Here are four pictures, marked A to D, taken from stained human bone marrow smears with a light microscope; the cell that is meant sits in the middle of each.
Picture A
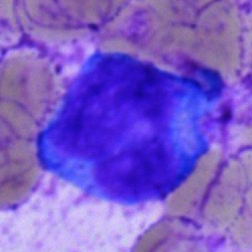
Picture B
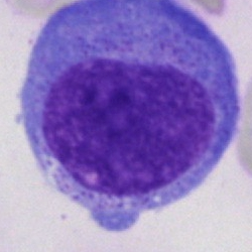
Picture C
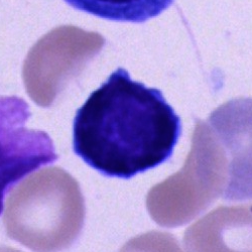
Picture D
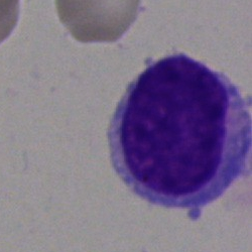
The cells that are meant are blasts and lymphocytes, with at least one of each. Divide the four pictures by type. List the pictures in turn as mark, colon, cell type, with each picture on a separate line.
A: blast
B: blast
C: lymphocyte
D: lymphocyte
